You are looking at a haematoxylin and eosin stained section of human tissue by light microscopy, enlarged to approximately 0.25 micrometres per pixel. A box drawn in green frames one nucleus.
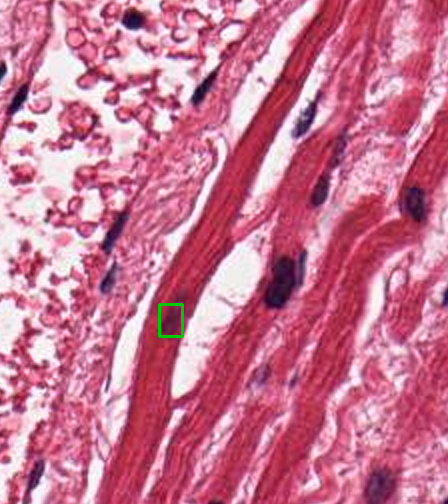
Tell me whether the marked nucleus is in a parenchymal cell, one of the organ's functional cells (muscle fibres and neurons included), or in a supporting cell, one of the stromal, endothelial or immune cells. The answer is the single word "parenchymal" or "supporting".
parenchymal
